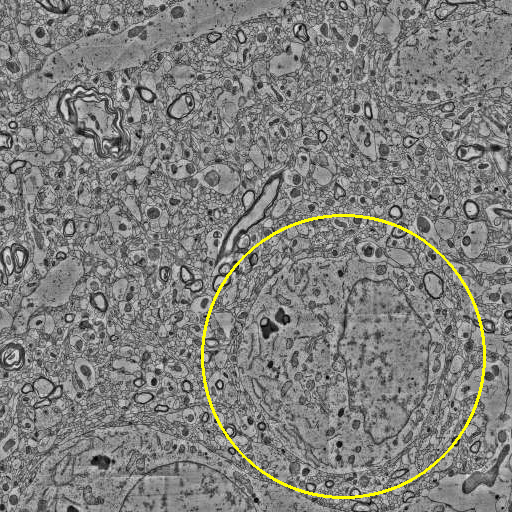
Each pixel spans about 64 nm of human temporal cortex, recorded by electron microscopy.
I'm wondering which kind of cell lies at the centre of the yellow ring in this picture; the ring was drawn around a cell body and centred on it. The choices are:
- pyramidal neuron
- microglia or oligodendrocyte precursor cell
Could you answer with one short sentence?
At the centre of the ring lies a pyramidal neuron.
